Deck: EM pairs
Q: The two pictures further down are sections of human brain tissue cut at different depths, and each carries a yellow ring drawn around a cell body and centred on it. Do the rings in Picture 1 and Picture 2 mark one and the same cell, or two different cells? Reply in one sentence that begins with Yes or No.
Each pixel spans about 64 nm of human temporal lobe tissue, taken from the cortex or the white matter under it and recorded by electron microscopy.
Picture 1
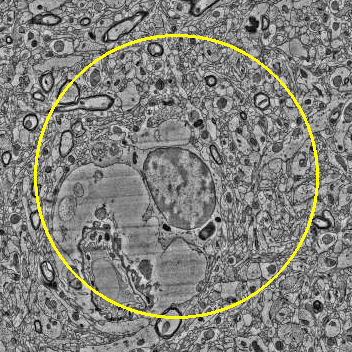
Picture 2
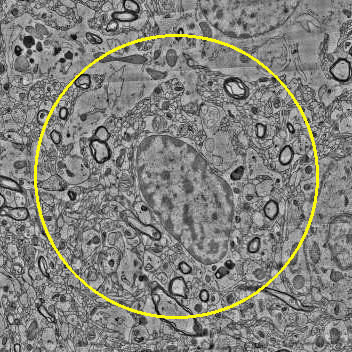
No, each of the two rings holds a different cell.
